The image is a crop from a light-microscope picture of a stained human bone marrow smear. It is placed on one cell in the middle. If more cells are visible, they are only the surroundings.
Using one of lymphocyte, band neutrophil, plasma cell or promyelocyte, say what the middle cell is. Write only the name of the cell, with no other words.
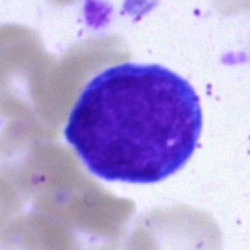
lymphocyte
